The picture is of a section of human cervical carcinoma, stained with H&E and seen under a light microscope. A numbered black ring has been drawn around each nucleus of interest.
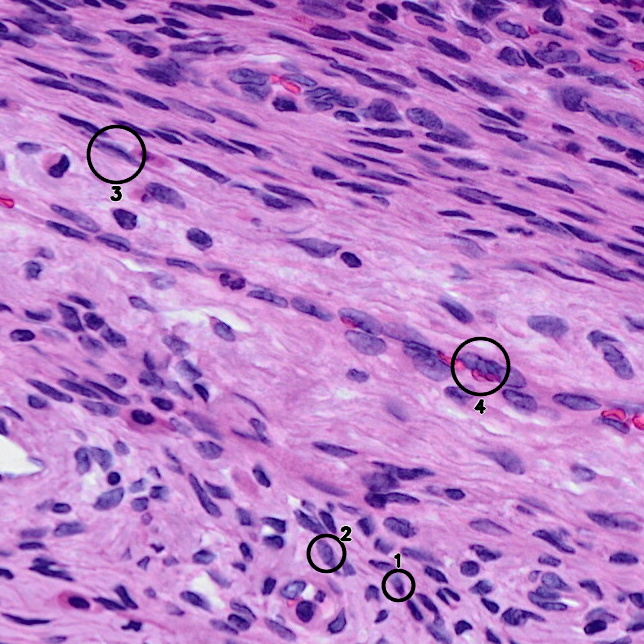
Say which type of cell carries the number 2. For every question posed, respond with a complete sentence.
The cell that bears the number 2 is a fibroblast.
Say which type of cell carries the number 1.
Here, the cell given the number 1 is a fibroblast.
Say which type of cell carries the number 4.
The one numbered 4 among the marked cells is an endothelial cell.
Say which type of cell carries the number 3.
The cell tagged with 3 in this tissue section is a fibroblast.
